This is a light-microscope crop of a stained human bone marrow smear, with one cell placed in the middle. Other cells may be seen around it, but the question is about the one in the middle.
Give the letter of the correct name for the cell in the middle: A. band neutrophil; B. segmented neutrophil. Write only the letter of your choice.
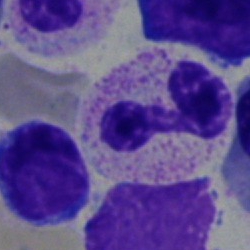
B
